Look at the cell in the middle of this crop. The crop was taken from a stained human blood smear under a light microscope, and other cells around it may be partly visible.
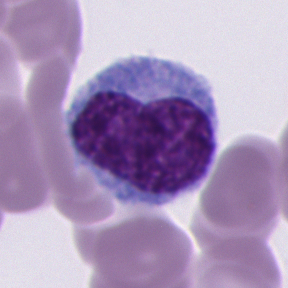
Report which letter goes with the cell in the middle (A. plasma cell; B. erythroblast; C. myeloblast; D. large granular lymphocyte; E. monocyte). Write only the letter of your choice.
E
